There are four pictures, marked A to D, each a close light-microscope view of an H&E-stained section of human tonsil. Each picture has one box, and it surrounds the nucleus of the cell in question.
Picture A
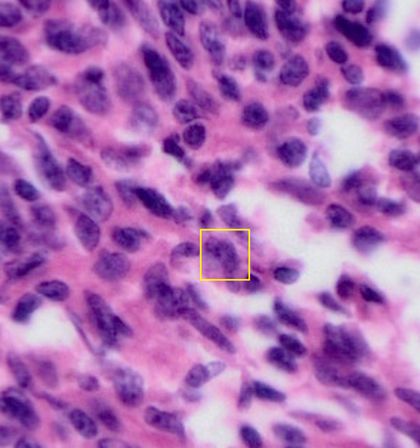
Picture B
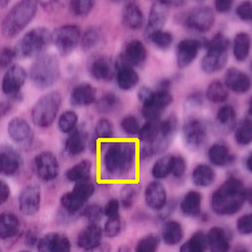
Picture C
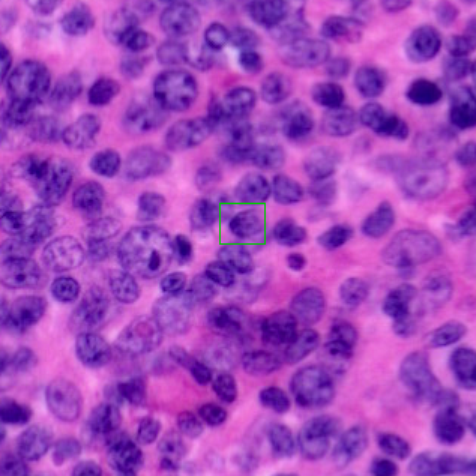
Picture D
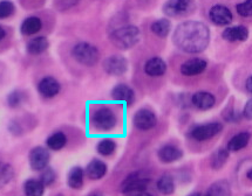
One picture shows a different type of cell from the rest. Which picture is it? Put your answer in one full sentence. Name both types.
The others show proliferating B cells, but picture D shows a plasma cell.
